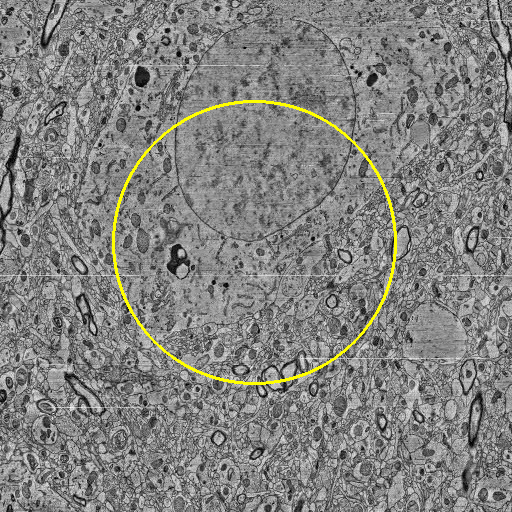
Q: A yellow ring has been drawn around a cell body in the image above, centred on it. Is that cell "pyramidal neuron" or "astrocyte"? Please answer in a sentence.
The ring surrounds the cell body of a pyramidal neuron.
